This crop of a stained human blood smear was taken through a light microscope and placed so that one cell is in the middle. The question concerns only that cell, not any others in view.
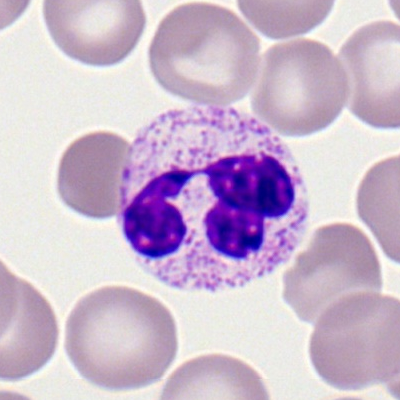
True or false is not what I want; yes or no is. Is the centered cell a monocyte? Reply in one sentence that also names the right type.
No, in the centre of the crop lies a segmented neutrophil, not a monocyte.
